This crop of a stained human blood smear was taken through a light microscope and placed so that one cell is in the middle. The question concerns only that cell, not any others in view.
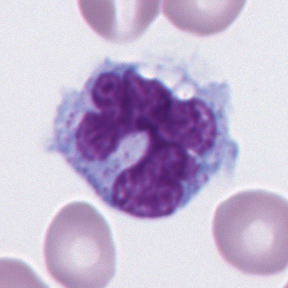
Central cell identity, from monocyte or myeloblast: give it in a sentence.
In the crop, the cell of interest at the centre is a monocyte.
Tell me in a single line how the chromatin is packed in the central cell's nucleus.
Coarse clumps are absent, and the chromatin is fine throughout.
